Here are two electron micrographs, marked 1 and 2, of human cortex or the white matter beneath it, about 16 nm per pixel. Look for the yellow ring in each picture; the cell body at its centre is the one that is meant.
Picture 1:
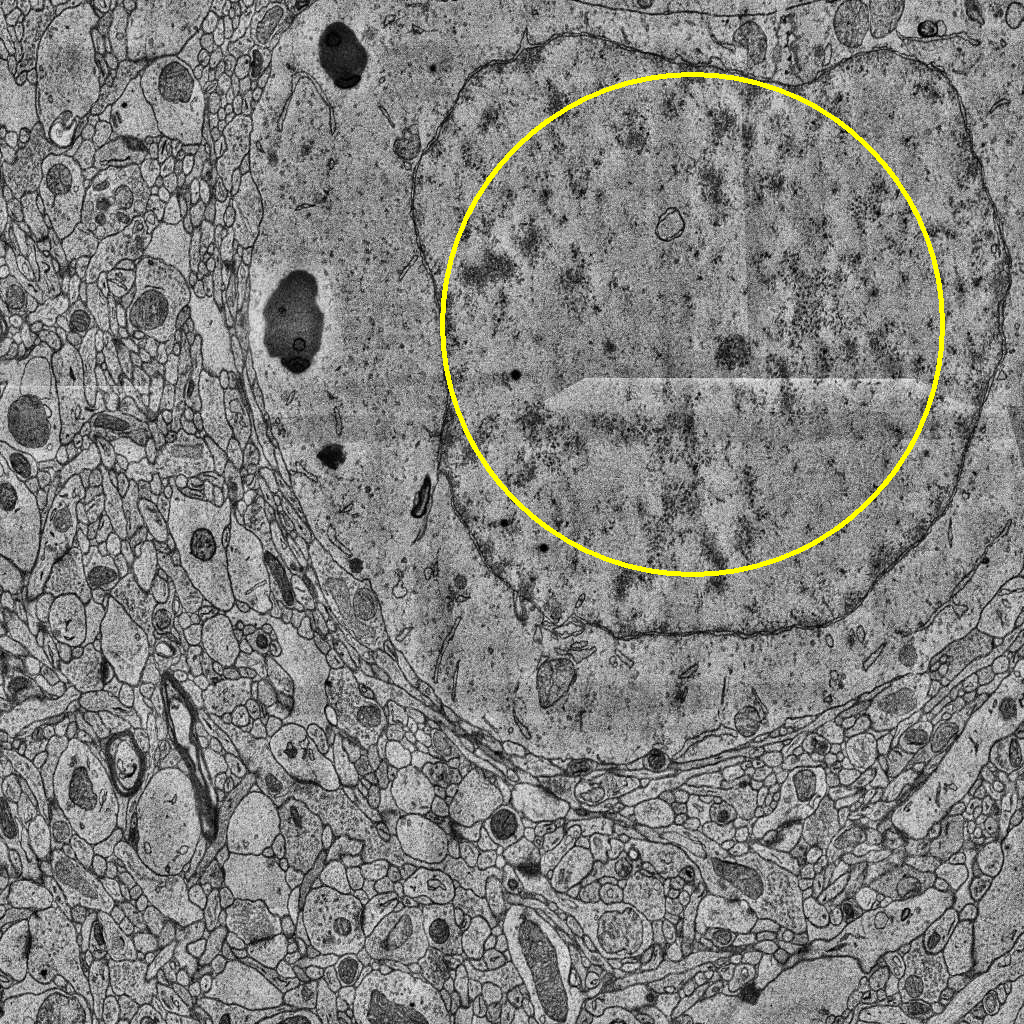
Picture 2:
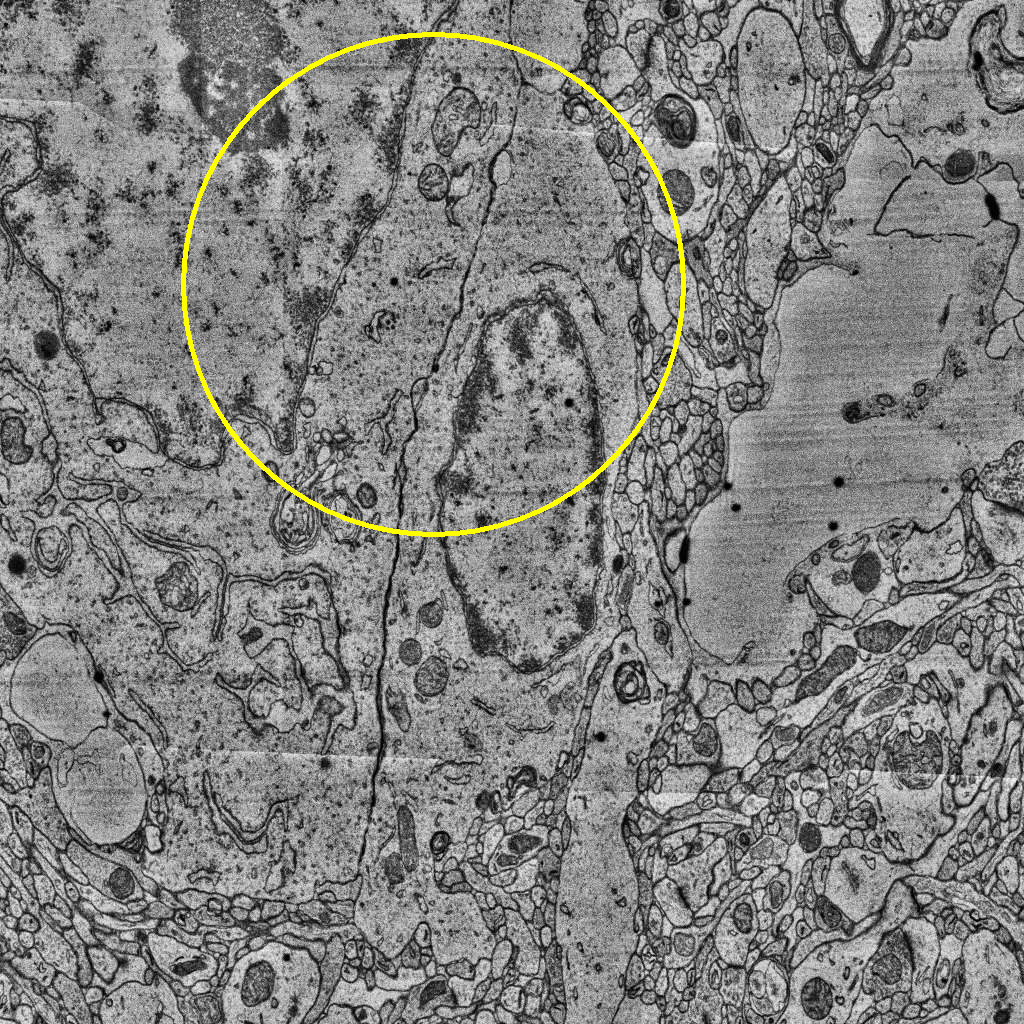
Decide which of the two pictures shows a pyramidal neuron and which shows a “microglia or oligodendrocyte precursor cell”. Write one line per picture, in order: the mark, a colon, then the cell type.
1: pyramidal neuron
2: microglia or oligodendrocyte precursor cell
